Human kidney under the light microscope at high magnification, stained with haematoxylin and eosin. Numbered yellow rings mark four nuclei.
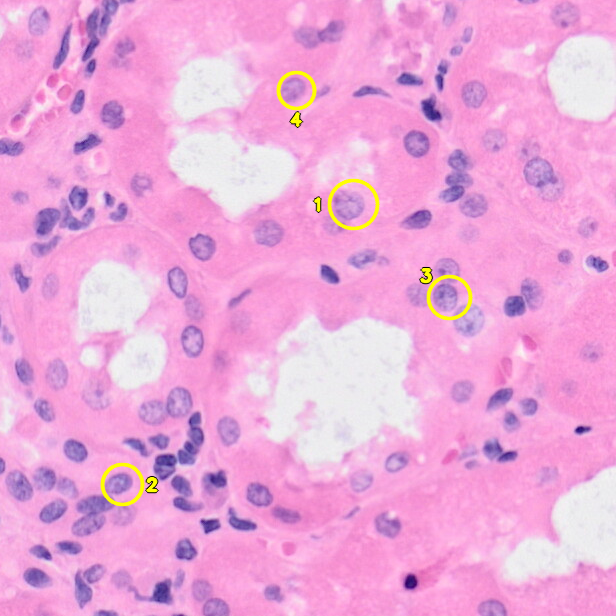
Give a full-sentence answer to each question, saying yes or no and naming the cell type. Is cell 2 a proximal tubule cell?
No, number 2 marks a collecting duct cell rather than a proximal tubule cell.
